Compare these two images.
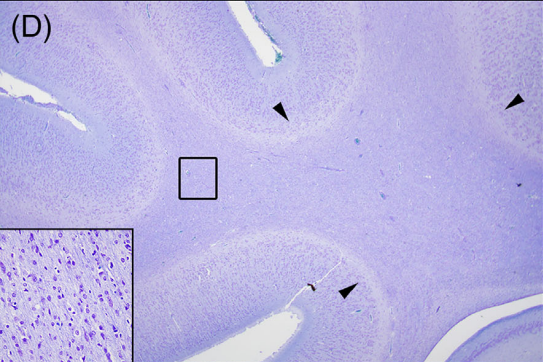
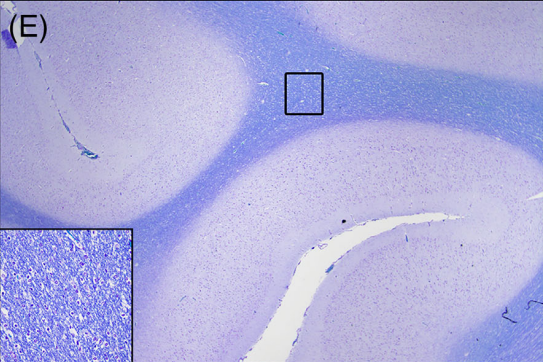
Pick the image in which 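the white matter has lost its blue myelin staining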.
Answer: The first image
